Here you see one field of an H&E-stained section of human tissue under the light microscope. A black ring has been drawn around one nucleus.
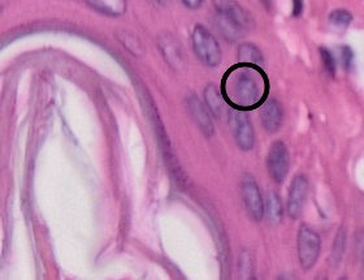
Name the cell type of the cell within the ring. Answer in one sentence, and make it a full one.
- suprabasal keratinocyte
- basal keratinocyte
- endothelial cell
By cell type, the cell within the ring is a basal keratinocyte.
